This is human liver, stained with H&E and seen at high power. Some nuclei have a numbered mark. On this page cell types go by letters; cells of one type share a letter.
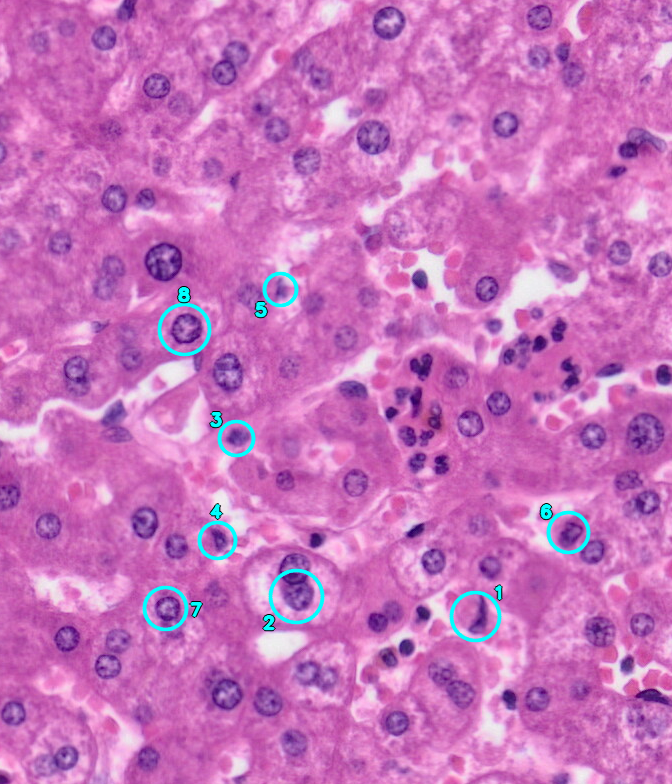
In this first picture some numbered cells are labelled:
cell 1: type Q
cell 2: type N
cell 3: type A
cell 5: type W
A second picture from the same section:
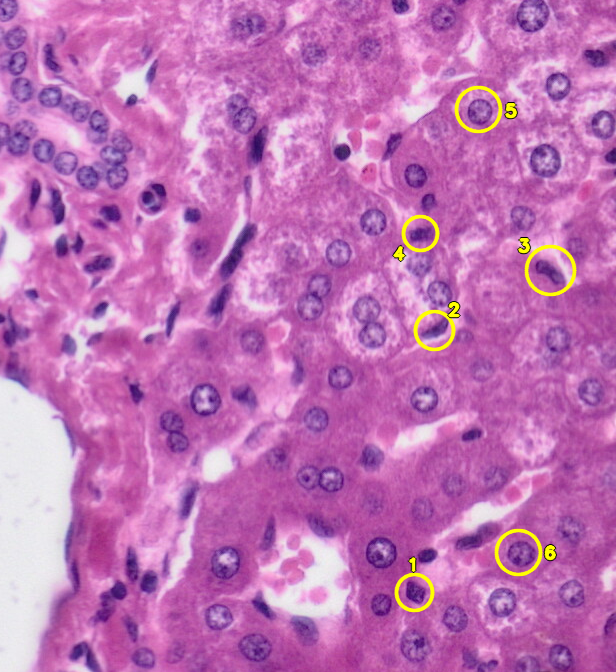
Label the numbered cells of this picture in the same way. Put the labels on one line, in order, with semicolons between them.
type A; type W; type Q; type A; type N; type N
